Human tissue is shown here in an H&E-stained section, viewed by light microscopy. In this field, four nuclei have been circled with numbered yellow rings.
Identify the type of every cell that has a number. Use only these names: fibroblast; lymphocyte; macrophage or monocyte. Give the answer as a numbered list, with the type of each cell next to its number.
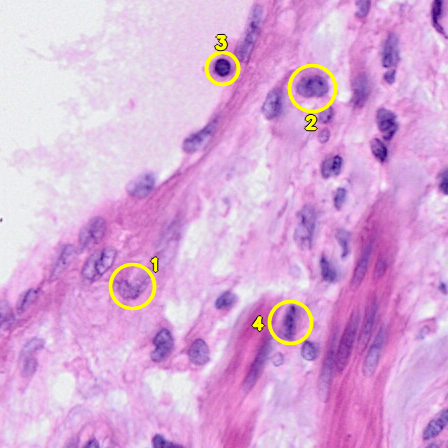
1. fibroblast
2. macrophage or monocyte
3. lymphocyte
4. macrophage or monocyte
